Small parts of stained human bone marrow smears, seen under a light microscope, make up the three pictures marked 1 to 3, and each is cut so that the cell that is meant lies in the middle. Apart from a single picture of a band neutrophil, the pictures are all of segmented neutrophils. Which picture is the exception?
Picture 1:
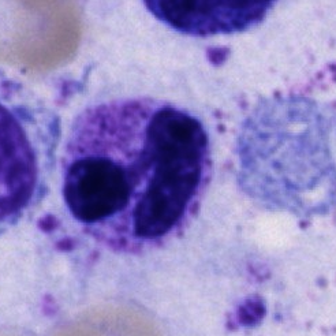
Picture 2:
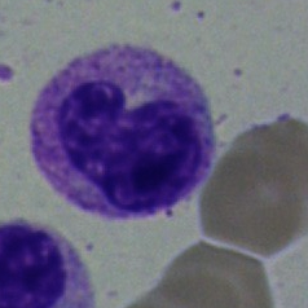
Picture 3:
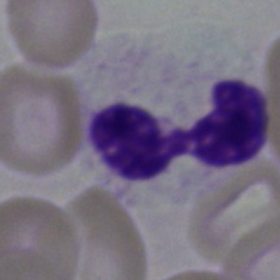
2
